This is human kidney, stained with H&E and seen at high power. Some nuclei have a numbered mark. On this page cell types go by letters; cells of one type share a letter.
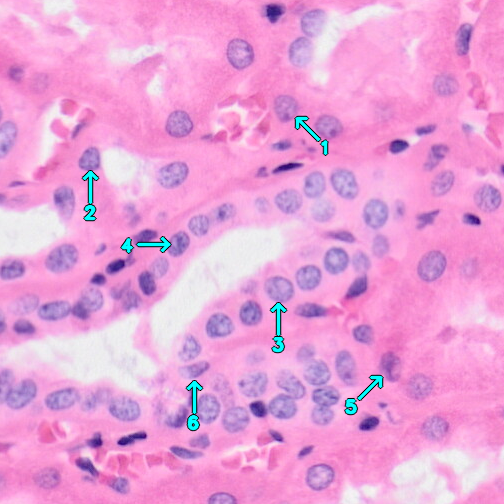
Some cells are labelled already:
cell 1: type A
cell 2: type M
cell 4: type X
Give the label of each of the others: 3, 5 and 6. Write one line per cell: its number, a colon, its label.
3: type X
5: type A
6: type X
